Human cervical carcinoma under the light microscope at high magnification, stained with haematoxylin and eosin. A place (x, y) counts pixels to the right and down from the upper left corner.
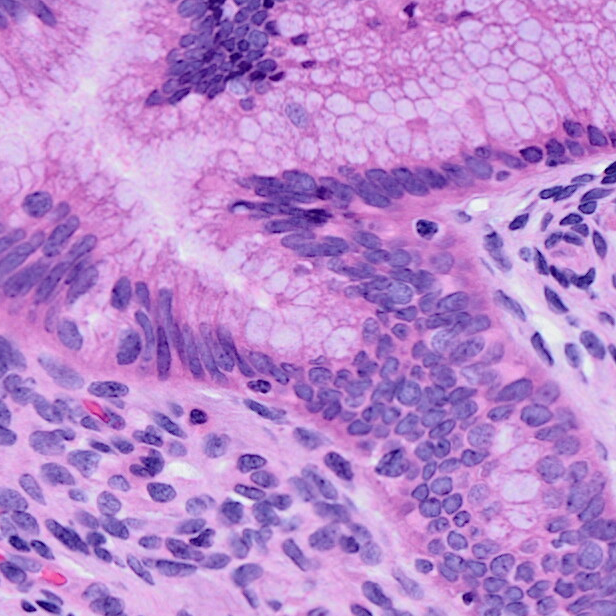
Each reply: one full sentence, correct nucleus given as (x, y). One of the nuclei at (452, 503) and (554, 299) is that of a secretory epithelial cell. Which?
Housed in a secretory epithelial cell is the nucleus at (452, 503), not the other one.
